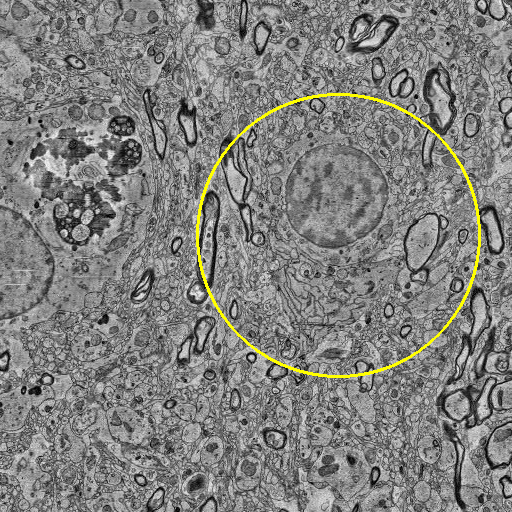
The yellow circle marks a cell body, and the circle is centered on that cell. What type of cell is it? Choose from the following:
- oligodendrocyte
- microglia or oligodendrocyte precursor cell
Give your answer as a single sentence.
This cell body belongs to an oligodendrocyte.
